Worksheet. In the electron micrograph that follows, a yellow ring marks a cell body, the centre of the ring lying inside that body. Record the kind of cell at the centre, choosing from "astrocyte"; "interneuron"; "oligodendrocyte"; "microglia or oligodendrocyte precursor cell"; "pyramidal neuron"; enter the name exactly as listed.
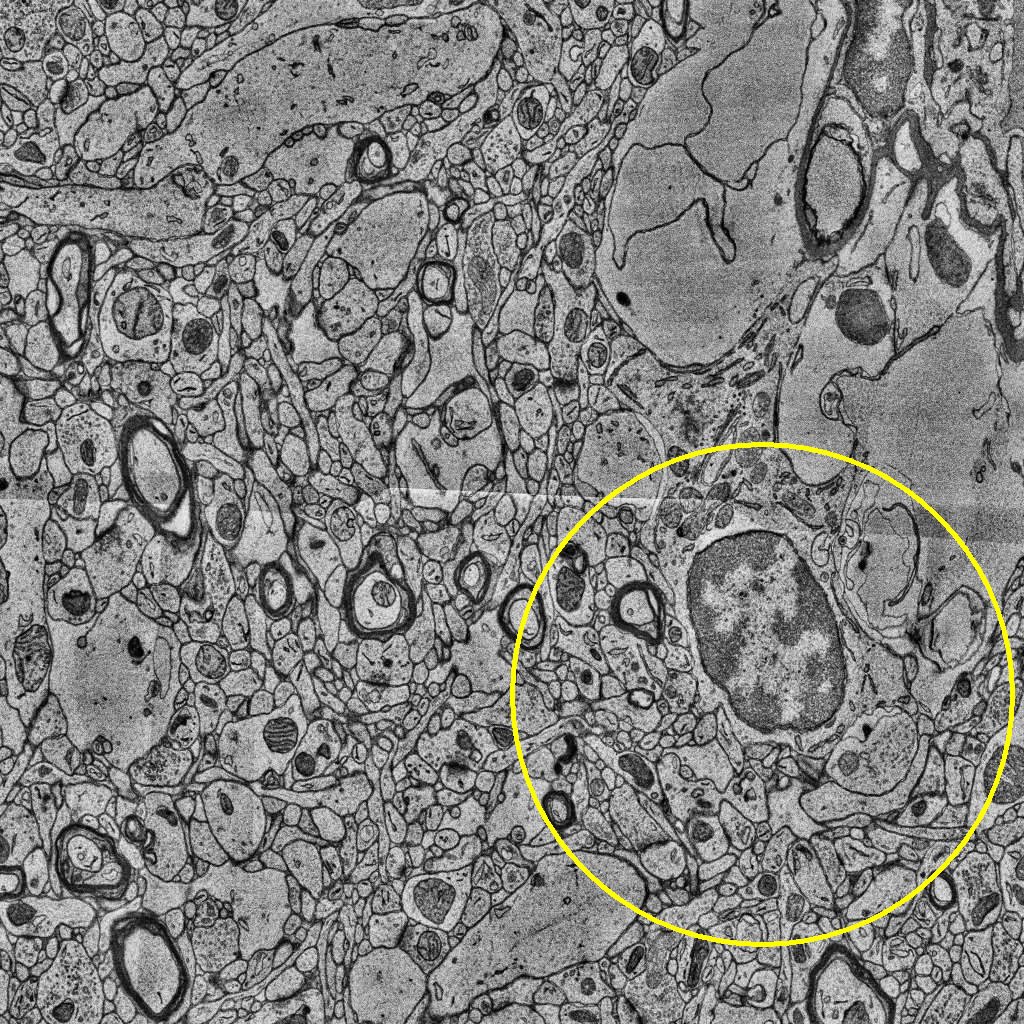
microglia or oligodendrocyte precursor cell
